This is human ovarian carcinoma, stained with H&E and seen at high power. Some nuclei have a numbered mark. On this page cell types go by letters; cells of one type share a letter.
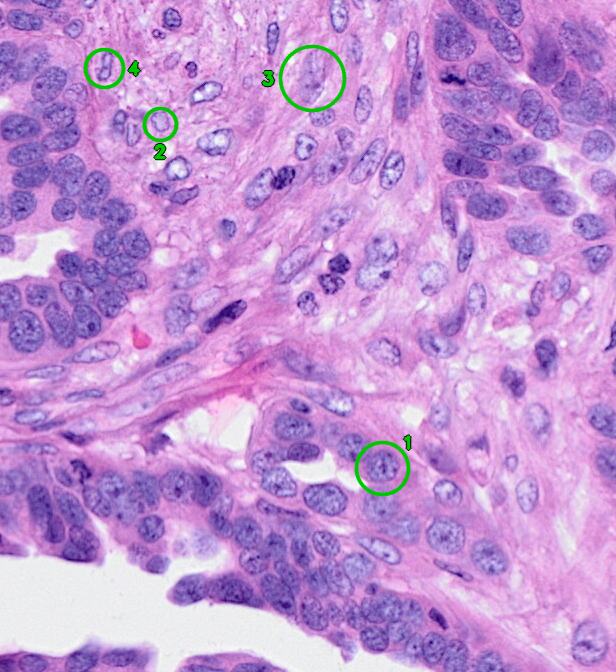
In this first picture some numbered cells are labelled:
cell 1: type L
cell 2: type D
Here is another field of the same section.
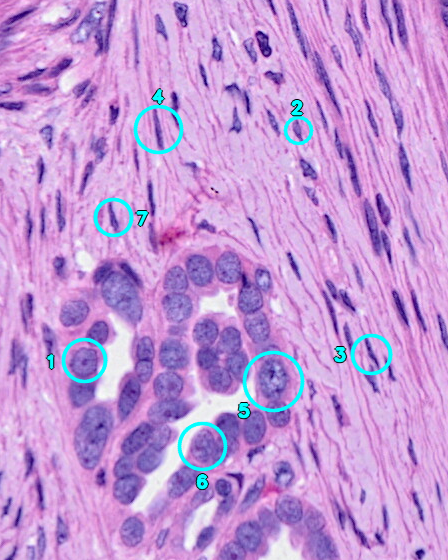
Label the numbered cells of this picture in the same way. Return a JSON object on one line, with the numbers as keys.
{"1": "type L", "2": "type D", "3": "type D", "4": "type D", "5": "type L", "6": "type L", "7": "type D"}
